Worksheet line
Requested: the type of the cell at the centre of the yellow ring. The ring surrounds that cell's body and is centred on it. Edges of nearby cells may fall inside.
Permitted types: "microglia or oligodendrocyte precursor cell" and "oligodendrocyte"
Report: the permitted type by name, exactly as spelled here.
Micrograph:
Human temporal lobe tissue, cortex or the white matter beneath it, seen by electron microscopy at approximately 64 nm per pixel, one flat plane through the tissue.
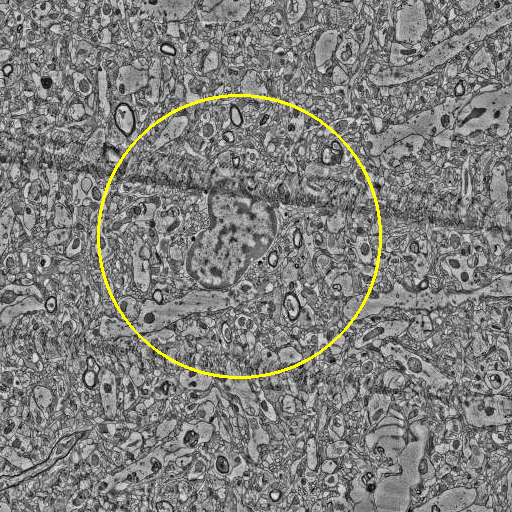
microglia or oligodendrocyte precursor cell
